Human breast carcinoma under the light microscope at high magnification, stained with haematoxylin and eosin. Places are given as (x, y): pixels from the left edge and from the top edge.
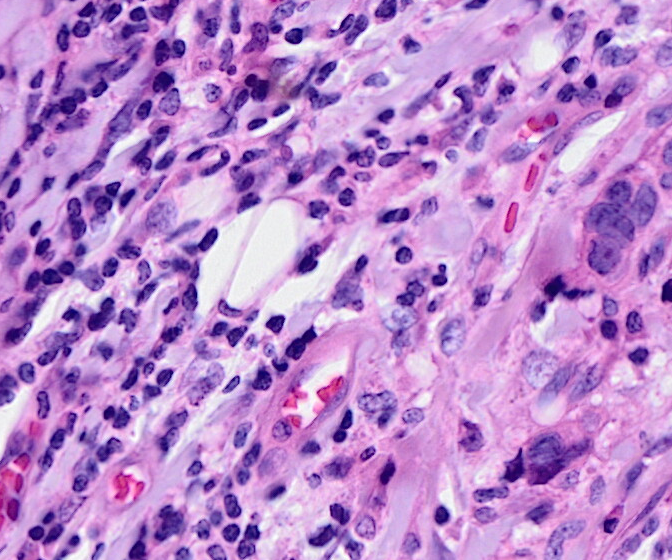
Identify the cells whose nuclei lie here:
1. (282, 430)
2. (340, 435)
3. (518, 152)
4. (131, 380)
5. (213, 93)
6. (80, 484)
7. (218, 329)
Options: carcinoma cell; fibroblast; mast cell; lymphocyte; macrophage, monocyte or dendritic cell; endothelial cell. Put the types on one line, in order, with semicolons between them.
endothelial cell; lymphocyte; endothelial cell; lymphocyte; mast cell; lymphocyte; lymphocyte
